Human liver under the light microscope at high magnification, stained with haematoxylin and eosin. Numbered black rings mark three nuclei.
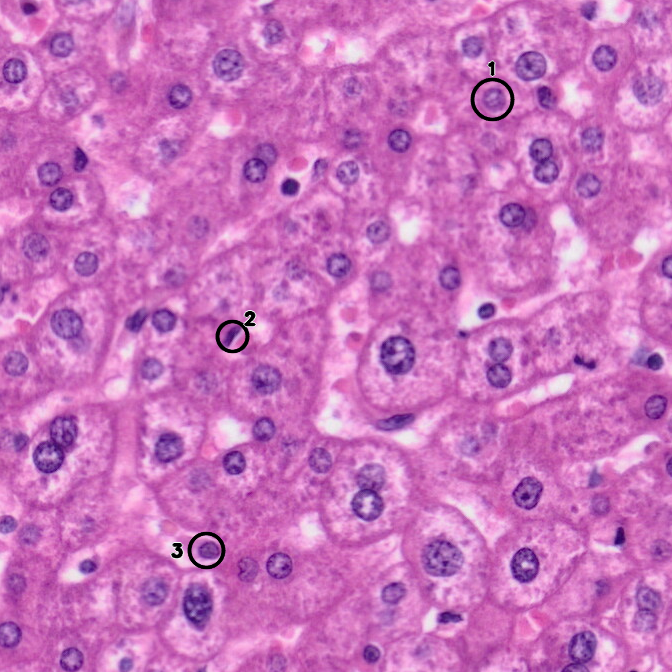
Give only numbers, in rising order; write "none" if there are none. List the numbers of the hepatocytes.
1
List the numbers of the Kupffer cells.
3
